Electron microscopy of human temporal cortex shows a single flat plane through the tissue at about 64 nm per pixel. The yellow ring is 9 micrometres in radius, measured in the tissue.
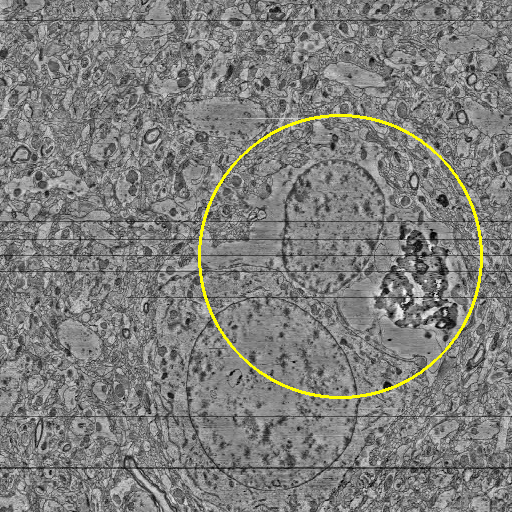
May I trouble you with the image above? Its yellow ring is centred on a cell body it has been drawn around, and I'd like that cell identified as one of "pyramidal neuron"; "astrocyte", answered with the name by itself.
astrocyte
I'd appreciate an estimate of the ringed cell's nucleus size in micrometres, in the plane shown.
The ringed cell's nucleus is about 9 micrometres long and 6 micrometres wide in this plane.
